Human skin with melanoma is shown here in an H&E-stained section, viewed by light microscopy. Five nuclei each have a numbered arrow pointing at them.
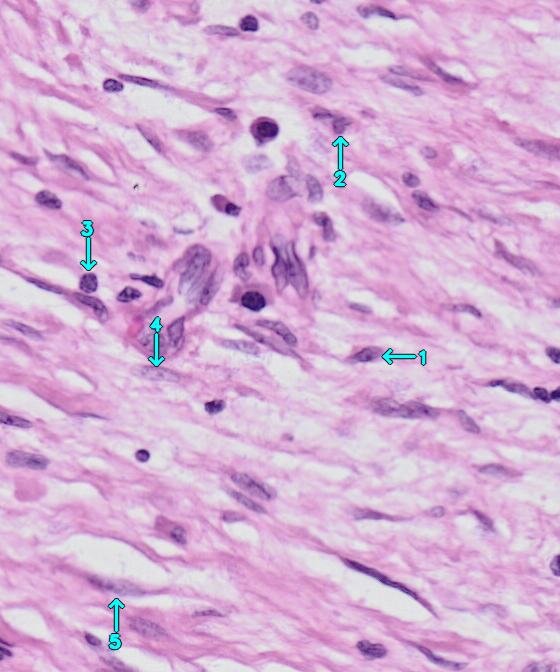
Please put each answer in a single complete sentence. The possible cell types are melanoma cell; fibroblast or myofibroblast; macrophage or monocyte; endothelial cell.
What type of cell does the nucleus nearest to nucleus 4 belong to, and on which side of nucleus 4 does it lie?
It is an endothelial cell, whose nucleus lies above nucleus 4.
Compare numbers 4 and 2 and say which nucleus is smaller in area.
Number 2 is smaller, since number 4 takes up about 2 times as much area.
